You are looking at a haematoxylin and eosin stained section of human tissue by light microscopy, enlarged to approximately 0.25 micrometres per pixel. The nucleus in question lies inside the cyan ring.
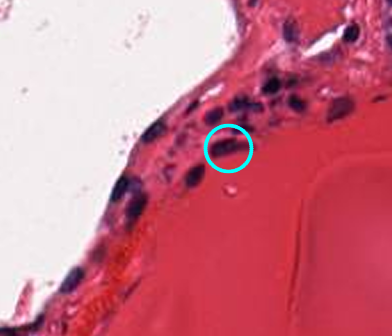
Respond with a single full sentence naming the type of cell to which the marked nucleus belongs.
The nucleus that the mark indicates belongs to a thyroid follicular cell.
